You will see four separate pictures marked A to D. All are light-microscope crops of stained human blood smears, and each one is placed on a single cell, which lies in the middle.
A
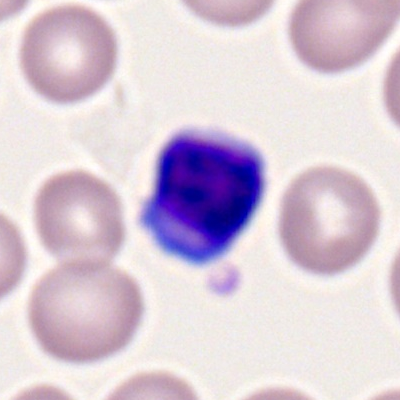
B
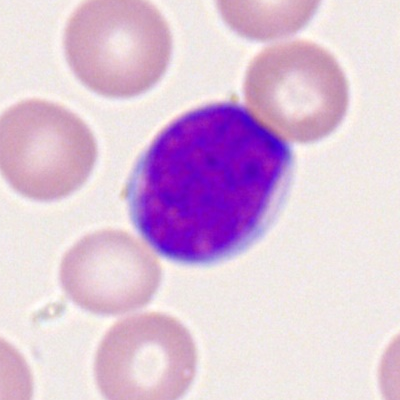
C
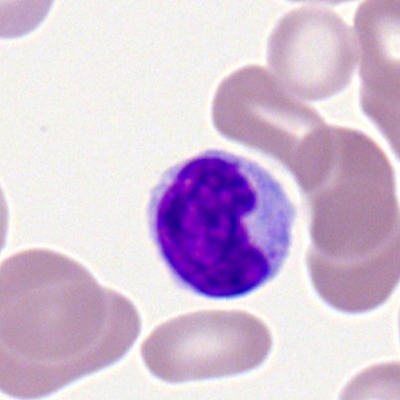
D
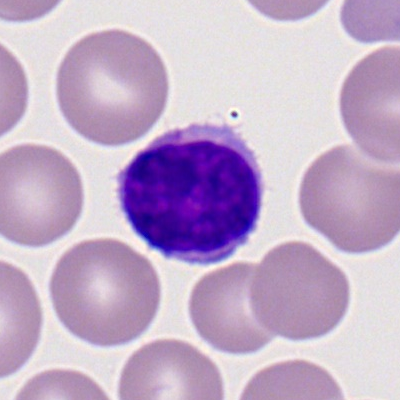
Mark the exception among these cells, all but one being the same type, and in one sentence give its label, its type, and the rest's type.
Crop B differs from the others in showing a blast; the rest all show lymphocytes.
